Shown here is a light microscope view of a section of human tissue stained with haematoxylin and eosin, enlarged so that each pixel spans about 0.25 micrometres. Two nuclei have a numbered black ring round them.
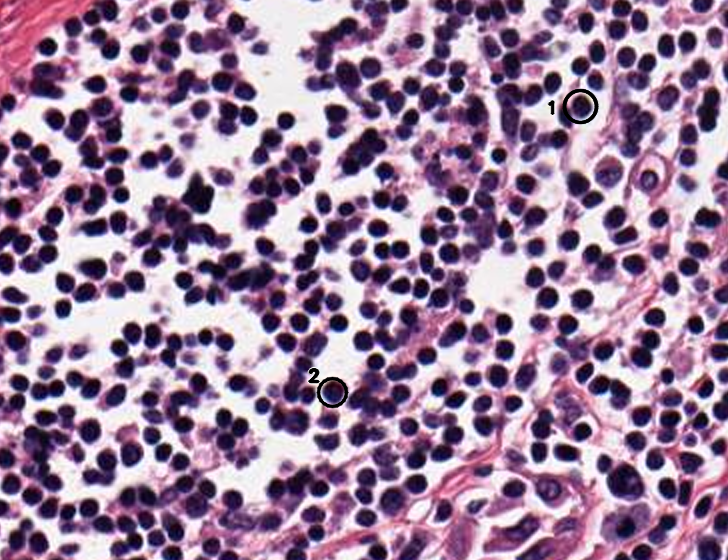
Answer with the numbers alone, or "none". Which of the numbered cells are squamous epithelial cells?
none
